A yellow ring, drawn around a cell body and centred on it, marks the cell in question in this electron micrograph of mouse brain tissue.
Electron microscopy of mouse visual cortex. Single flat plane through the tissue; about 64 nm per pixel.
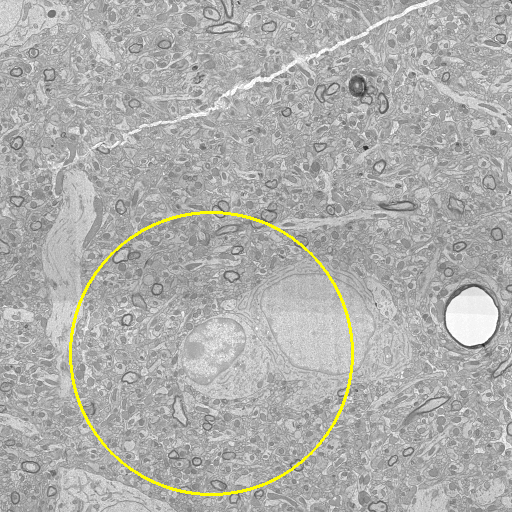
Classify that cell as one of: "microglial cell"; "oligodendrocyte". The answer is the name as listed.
oligodendrocyte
